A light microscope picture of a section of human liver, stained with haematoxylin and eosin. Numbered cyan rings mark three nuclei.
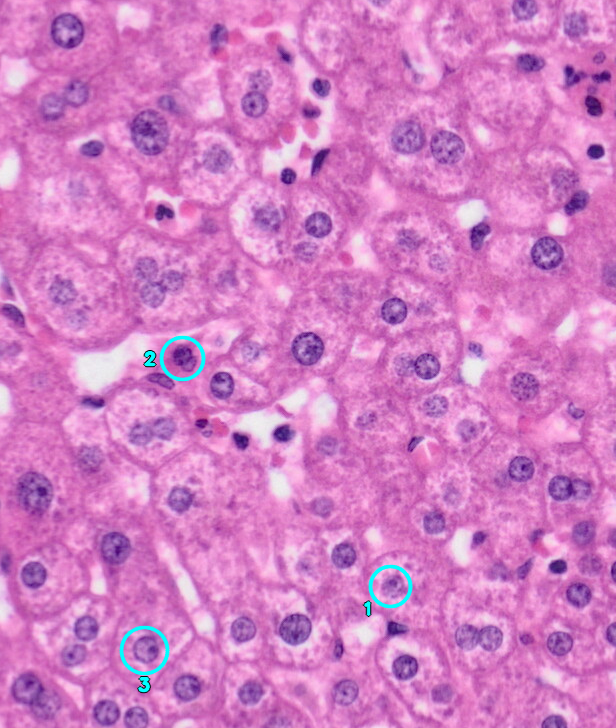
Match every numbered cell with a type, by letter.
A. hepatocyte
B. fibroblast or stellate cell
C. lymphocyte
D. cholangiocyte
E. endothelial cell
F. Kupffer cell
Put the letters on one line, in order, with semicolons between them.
A; F; A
